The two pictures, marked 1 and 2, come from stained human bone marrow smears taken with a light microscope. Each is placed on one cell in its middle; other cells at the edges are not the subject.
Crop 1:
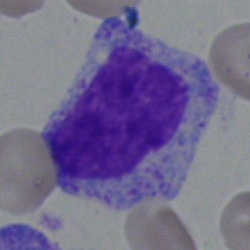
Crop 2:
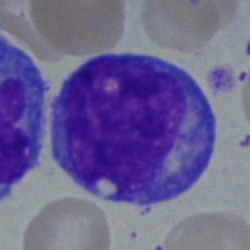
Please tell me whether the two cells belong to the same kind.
no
